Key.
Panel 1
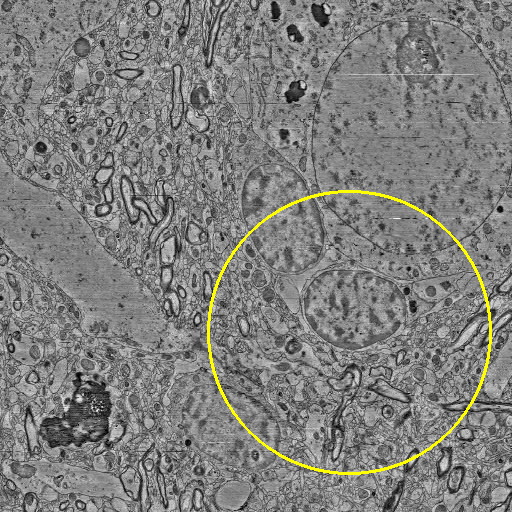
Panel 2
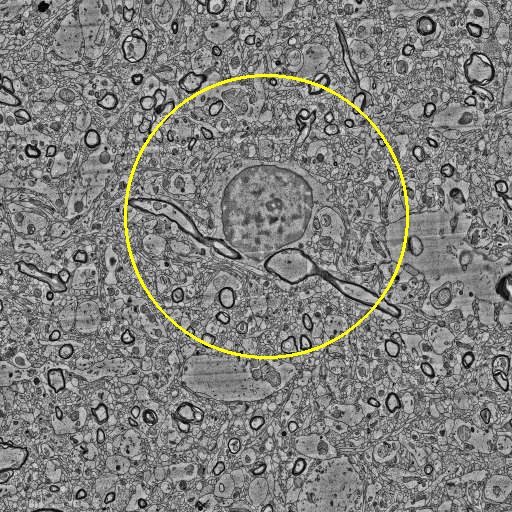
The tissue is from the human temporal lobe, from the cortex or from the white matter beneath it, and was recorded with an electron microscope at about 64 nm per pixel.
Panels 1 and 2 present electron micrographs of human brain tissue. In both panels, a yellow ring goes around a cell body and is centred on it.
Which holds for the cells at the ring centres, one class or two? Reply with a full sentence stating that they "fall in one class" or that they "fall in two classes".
Taken together, the ring-centre cells of the two panels fall in two classes.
